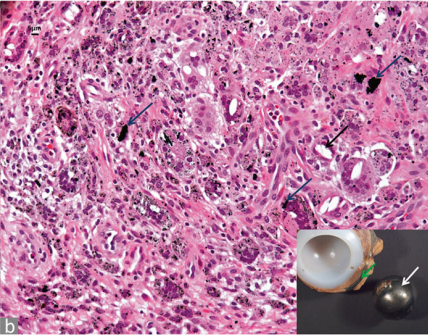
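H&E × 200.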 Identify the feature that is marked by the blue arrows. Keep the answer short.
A: Irregular macroparticles in multinucleated giant cells.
